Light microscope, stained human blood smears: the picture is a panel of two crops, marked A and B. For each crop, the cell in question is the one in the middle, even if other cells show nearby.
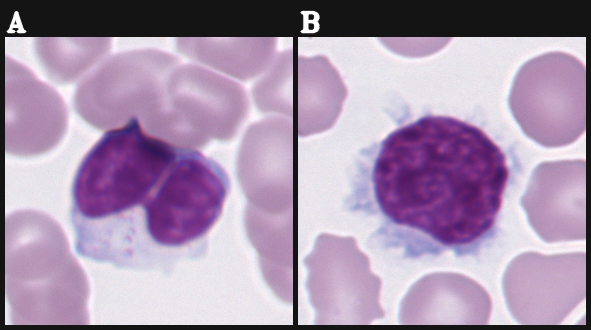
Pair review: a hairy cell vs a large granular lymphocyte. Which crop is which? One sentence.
In short, crop A is a large granular lymphocyte and crop B is a hairy cell.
